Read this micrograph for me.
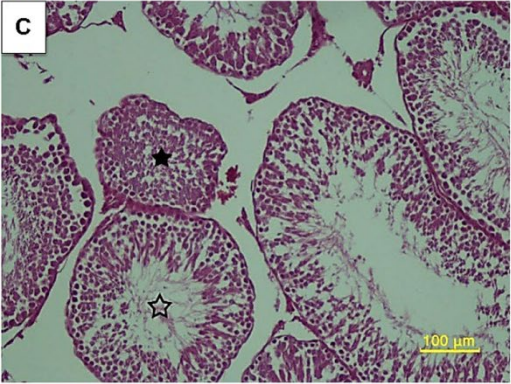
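Cross-sections of testis tubules of varying size are separated by wide pale interstitial spaces. Most tubules have a layered epithelium of purple-nucleated germ cells around a lumen containing pale fibrillar tails, while one small tubule at upper left has an irregular outline, loosely arranged cells and no open lumen, a degenerative appearance.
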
